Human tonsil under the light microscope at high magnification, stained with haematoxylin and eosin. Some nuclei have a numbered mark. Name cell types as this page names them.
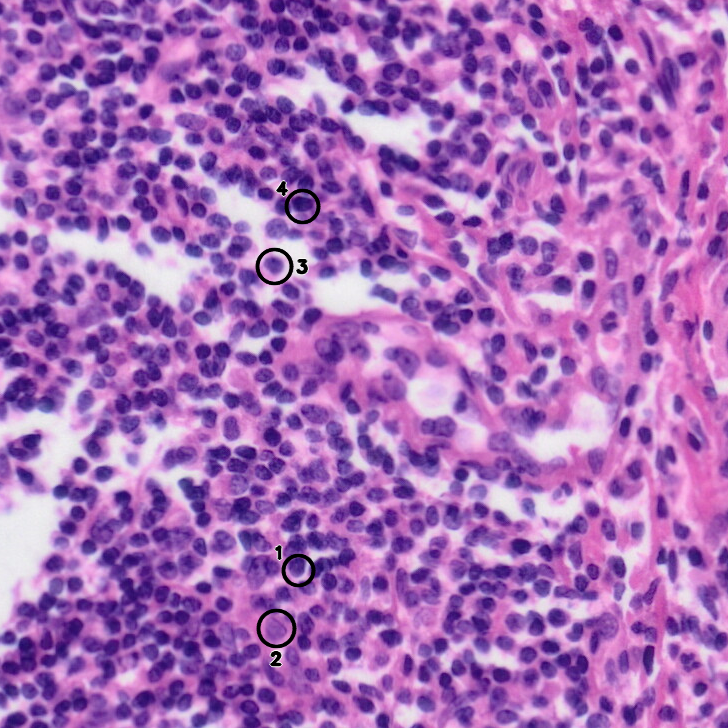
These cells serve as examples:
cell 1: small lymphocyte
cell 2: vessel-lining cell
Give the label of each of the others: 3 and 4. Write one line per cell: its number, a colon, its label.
3: small lymphocyte
4: small lymphocyte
